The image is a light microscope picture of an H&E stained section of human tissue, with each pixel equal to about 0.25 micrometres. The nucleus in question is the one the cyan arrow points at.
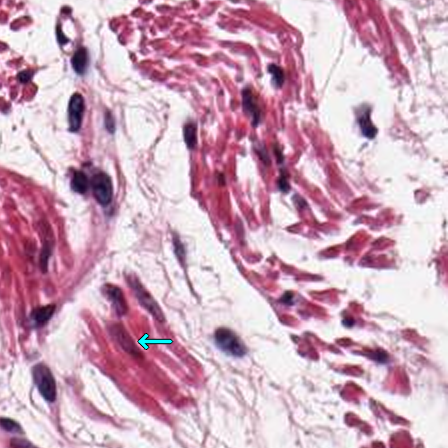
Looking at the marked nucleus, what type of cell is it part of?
smooth muscle cell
